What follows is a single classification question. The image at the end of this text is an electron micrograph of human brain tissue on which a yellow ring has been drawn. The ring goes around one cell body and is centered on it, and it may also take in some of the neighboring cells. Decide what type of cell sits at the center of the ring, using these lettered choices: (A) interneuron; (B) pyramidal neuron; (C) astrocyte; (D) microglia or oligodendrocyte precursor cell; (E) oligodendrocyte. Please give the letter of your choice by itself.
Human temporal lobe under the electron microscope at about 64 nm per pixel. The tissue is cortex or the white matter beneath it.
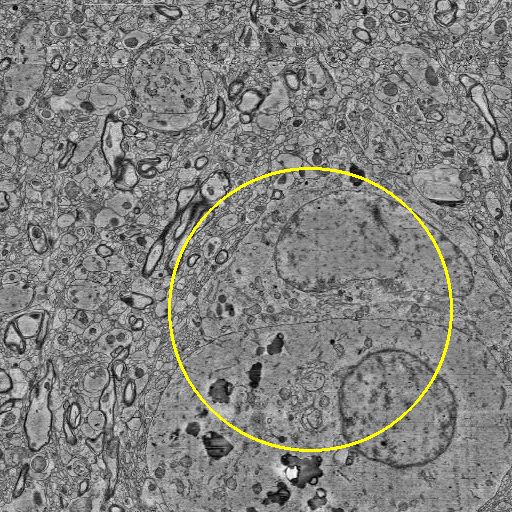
A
